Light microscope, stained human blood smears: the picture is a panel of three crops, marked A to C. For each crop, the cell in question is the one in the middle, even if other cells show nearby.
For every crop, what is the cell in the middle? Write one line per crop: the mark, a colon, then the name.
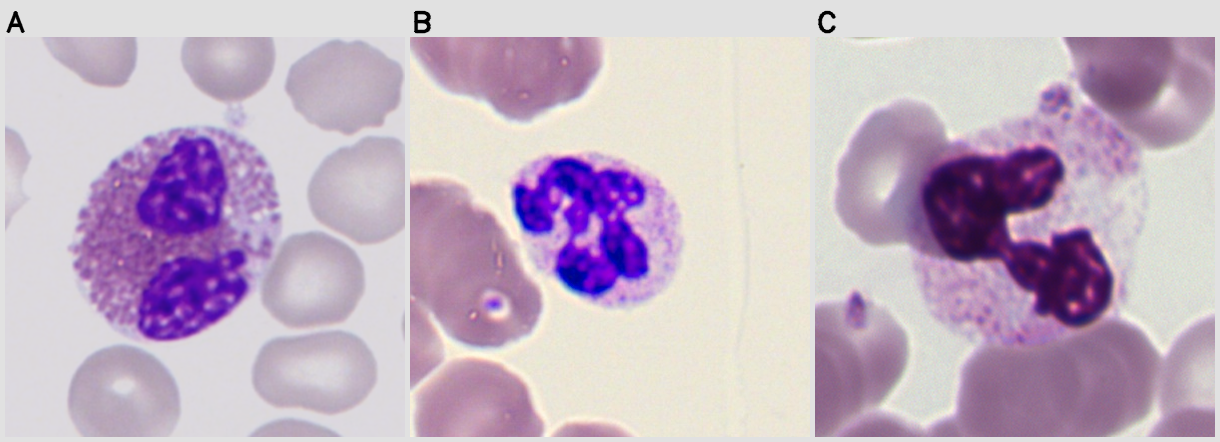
A: eosinophil
B: neutrophil
C: neutrophil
